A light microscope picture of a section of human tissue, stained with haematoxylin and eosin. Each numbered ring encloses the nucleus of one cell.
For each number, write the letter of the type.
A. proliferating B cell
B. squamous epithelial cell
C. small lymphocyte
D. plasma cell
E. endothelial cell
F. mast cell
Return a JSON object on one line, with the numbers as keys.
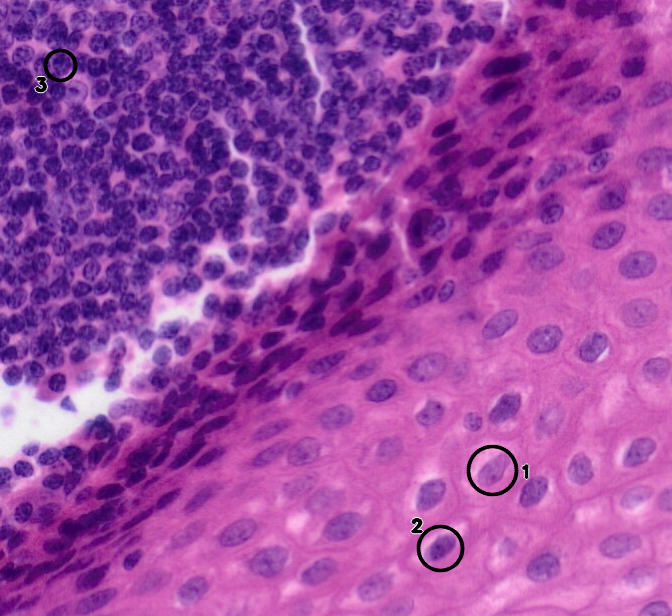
{"1": "B", "2": "B", "3": "C"}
